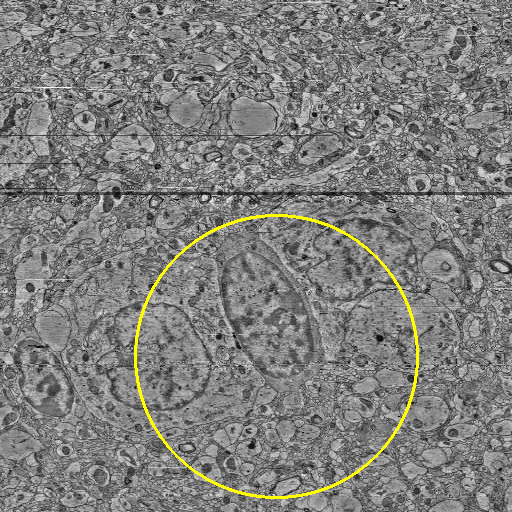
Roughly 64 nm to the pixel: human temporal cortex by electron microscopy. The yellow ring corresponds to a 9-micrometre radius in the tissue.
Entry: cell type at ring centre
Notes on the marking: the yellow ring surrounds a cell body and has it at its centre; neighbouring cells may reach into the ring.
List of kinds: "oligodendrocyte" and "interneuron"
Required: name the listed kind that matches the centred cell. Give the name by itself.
oligodendrocyte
